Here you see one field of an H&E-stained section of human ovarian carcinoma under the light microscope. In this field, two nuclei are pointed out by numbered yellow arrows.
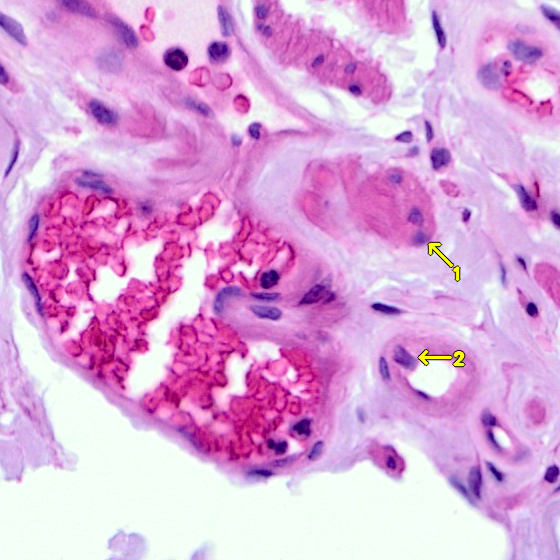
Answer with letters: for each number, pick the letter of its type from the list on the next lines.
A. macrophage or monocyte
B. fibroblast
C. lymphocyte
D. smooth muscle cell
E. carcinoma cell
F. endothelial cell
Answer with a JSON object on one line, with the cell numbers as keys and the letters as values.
{"1": "D", "2": "F"}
